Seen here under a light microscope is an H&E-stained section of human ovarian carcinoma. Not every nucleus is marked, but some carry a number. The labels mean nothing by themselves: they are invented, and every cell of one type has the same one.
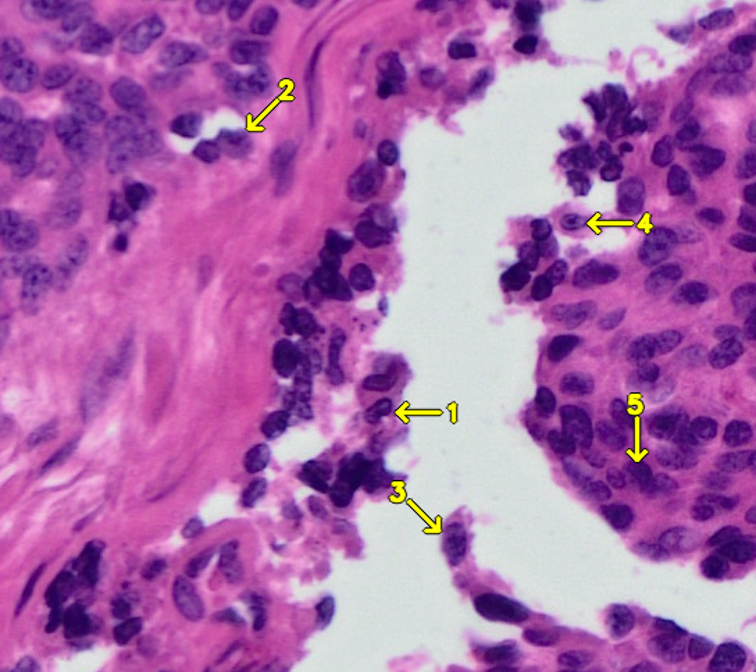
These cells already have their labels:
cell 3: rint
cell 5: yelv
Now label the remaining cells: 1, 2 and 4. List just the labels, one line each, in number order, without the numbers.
rint
yelv
rint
